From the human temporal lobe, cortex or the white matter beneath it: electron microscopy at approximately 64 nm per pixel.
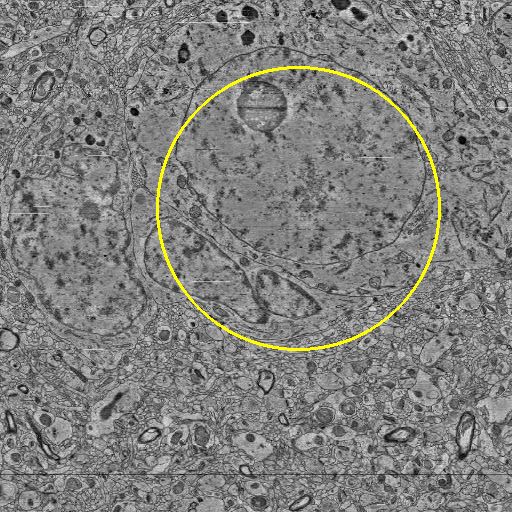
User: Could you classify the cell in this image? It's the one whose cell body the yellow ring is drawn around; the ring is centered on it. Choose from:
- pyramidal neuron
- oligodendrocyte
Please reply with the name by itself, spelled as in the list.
pyramidal neuron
